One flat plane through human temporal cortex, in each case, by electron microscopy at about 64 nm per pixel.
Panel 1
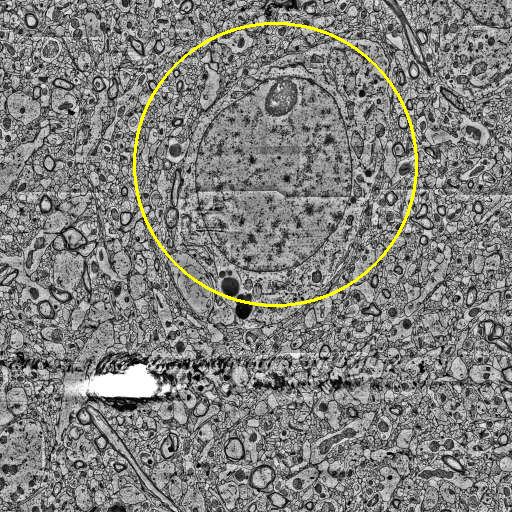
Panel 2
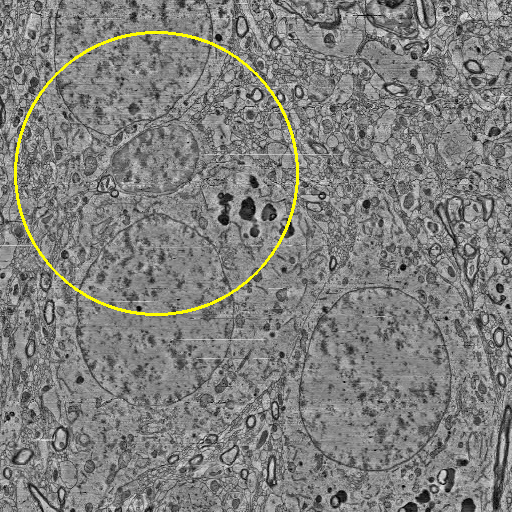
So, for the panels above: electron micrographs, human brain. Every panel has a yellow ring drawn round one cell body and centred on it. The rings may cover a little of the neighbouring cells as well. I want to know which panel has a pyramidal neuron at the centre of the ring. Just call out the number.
1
